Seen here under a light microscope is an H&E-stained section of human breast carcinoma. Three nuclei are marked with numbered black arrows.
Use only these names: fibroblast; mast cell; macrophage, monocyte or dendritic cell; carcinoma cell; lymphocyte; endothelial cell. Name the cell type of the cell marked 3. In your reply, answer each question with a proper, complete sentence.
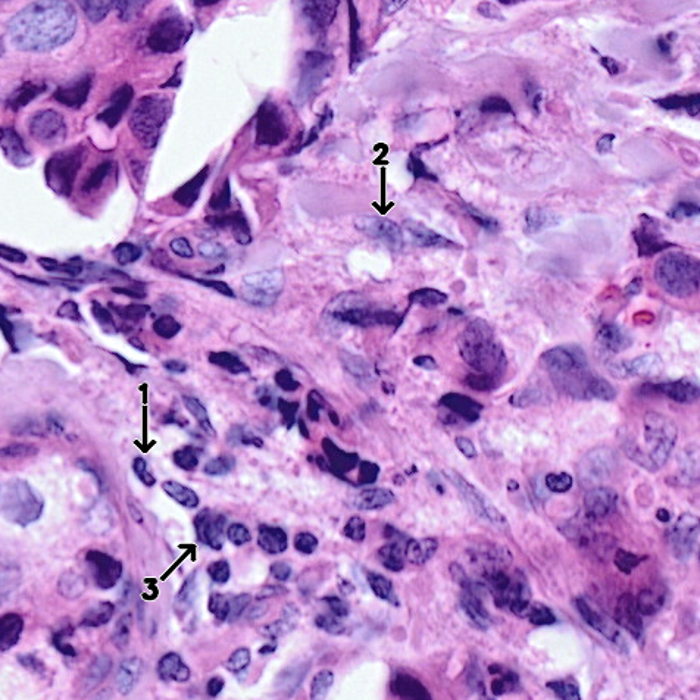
The one labeled 3 is a lymphocyte, to put it simply.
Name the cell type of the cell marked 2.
Among the marked nuclei, number 2 belongs to a fibroblast.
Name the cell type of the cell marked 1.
Cell number 1 in this section is a lymphocyte.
